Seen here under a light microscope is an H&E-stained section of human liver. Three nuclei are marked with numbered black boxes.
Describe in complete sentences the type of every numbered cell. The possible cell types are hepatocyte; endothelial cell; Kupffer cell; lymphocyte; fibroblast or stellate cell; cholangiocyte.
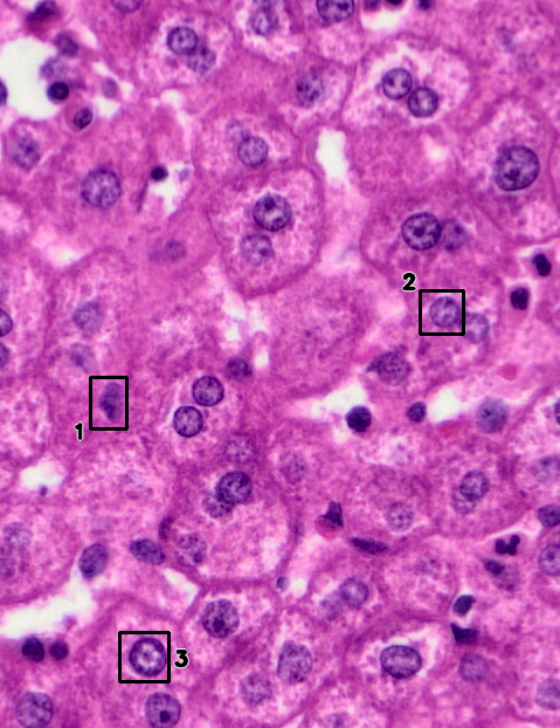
Cell 1 is an endothelial cell. Cells 2 and 3 are hepatocytes.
